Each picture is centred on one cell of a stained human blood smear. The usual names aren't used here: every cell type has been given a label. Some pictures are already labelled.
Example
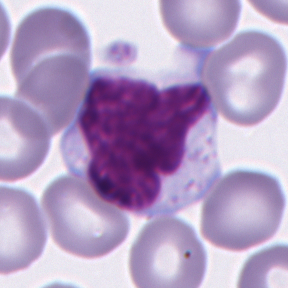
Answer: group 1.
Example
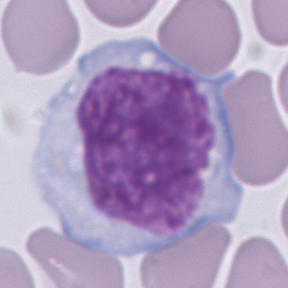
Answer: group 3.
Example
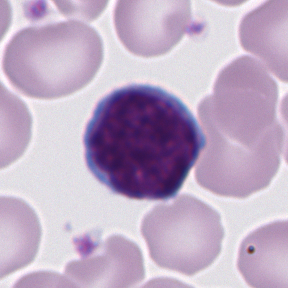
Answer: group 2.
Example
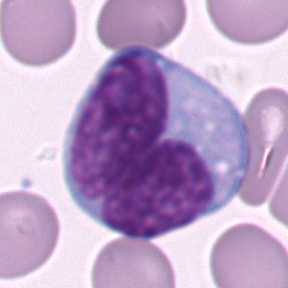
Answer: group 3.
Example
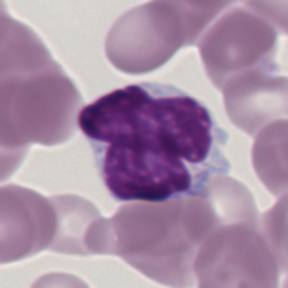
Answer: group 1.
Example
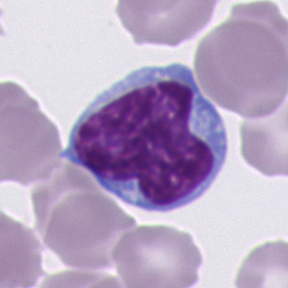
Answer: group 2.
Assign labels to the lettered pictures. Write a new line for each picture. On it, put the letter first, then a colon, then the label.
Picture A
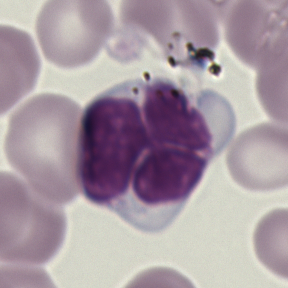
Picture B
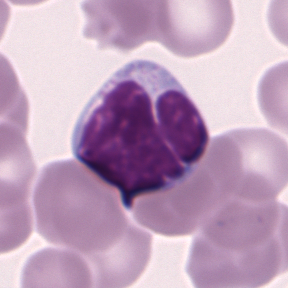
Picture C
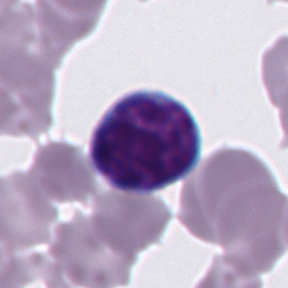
A: group 1.
B: group 1.
C: group 2.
